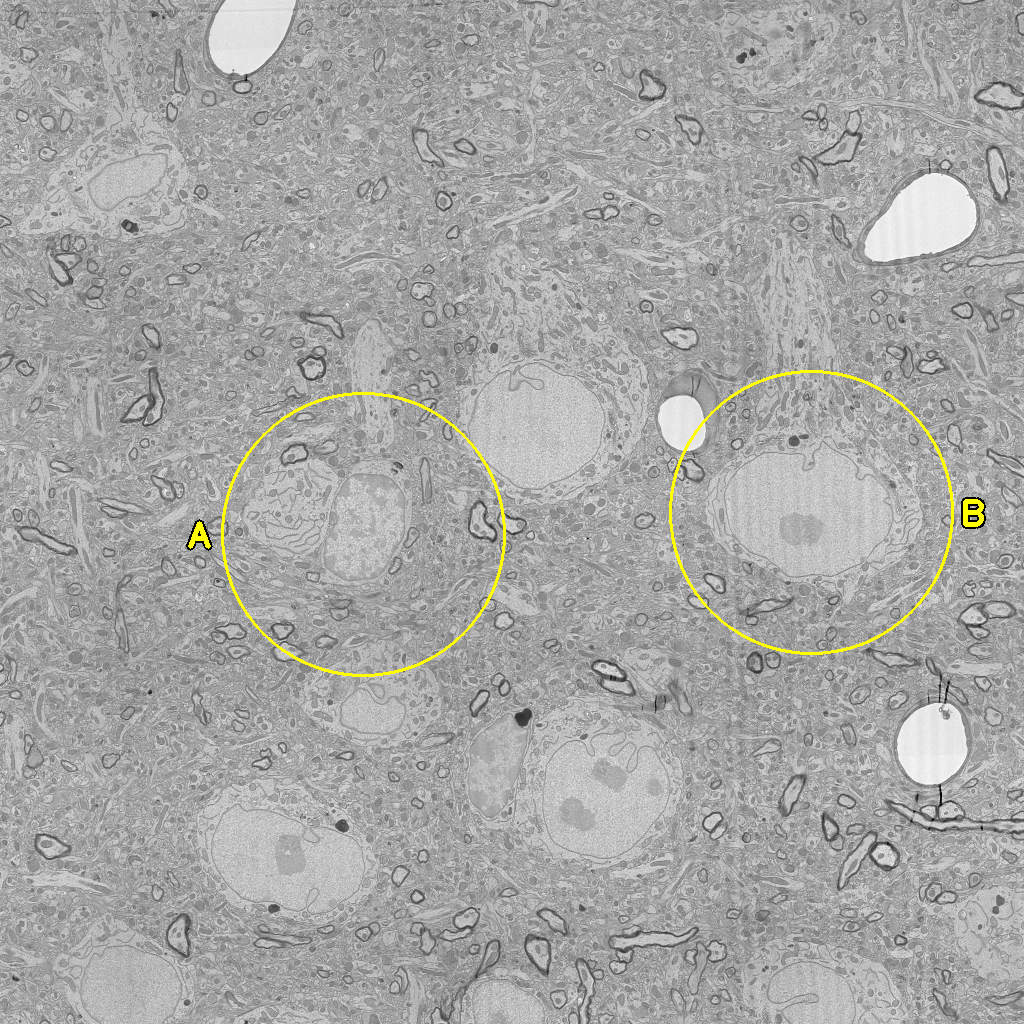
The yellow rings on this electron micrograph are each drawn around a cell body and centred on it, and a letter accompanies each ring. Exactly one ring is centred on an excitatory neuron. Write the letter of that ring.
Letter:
B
